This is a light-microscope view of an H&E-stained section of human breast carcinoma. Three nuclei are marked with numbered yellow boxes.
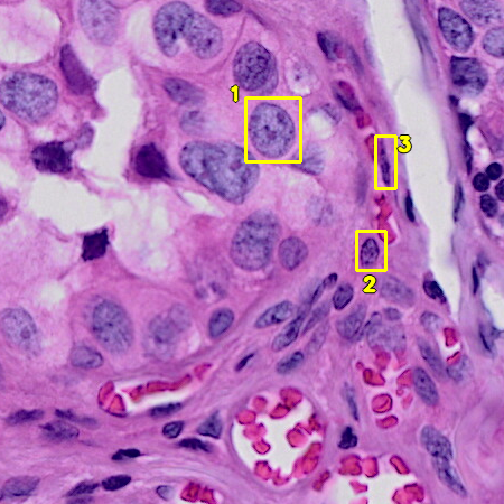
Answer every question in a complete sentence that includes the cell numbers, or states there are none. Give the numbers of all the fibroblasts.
In the set of numbered cells, fibroblasts are not found.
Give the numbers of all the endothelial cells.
With the exception of cell 3, no marked cell is an endothelial cell.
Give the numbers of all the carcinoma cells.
Cell 1 is a carcinoma cell, while all remaining marked cells are of other types.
